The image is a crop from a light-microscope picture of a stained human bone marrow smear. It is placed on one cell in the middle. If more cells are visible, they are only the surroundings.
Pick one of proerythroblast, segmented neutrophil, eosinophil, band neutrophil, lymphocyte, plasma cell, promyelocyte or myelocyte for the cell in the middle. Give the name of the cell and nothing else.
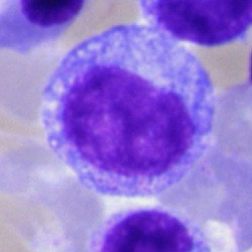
promyelocyte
